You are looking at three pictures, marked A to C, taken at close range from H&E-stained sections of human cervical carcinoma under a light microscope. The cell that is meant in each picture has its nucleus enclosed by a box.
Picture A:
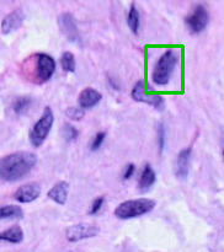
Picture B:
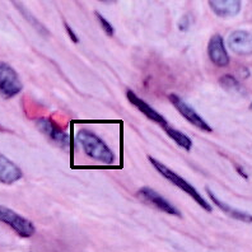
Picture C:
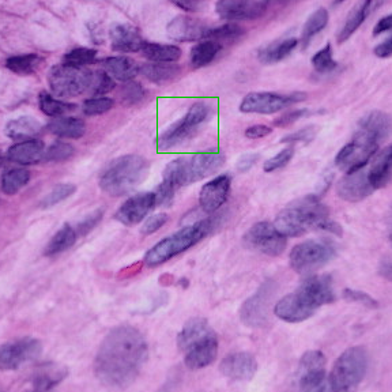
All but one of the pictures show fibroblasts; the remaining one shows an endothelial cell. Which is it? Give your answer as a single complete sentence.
Picture B shows the endothelial cell.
